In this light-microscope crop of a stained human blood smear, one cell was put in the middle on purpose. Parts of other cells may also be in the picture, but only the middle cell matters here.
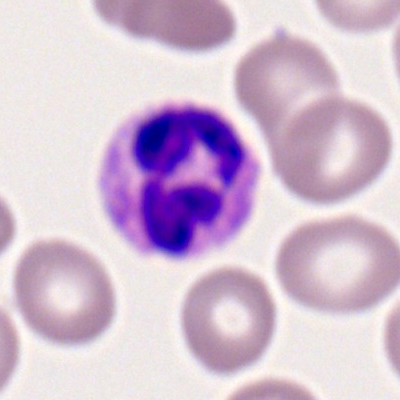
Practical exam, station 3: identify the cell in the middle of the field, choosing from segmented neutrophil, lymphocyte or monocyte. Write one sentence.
For this crop, the cell in the middle is a segmented neutrophil.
